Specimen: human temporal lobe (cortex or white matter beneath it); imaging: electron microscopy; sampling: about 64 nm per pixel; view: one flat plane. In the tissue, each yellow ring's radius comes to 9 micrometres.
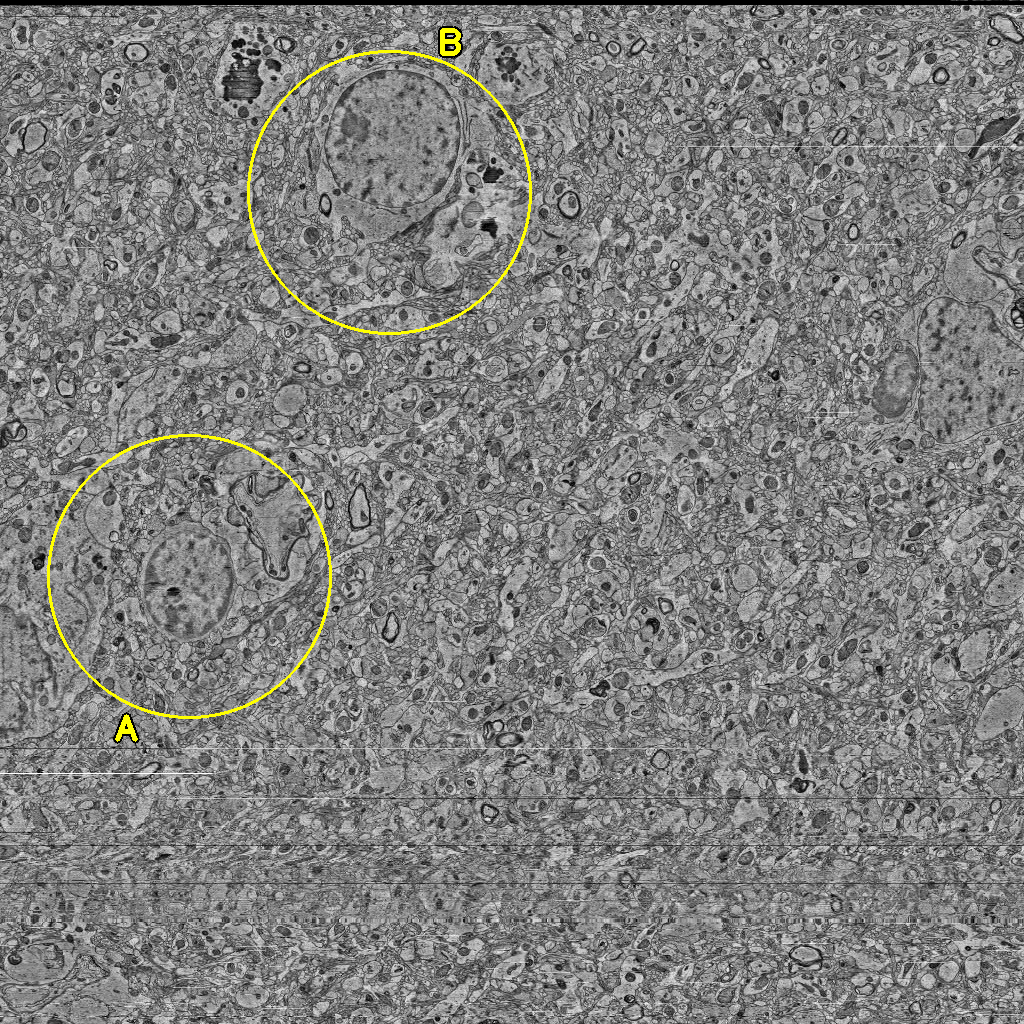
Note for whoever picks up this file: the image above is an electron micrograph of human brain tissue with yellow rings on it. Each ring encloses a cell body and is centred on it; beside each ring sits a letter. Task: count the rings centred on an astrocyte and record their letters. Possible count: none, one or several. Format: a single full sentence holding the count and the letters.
Among the rings, an astrocyte is the centre of just one, which is marked B.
